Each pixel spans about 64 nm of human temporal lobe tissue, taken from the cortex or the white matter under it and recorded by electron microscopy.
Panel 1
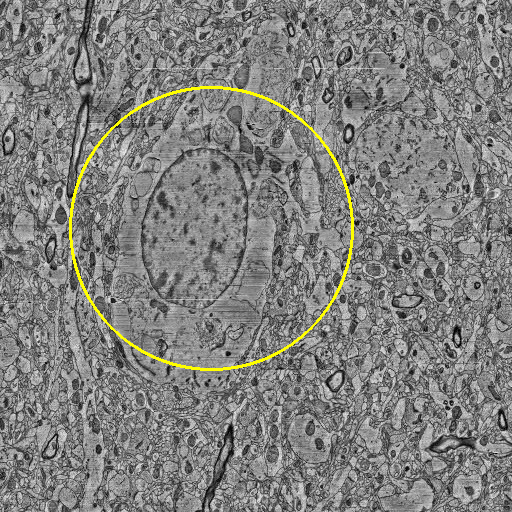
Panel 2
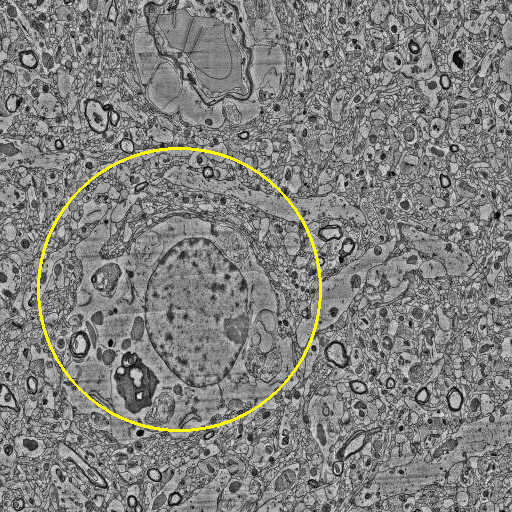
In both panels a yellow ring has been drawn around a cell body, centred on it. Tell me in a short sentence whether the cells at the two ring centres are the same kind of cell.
Yes, they are the same kind of cell.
